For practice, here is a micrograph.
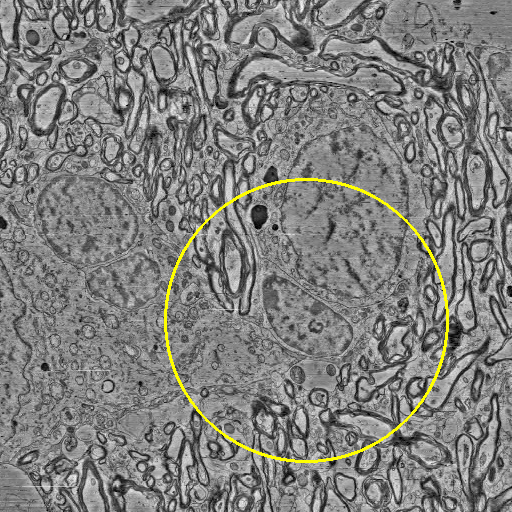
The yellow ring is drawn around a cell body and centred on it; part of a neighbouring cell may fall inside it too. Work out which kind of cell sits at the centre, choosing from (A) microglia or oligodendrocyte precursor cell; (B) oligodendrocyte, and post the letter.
A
